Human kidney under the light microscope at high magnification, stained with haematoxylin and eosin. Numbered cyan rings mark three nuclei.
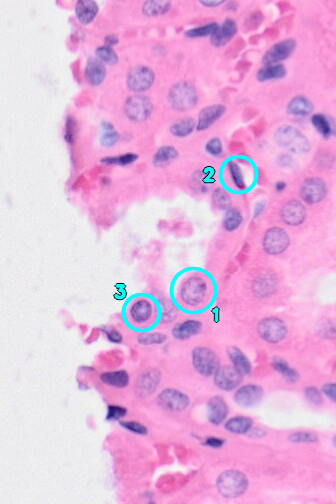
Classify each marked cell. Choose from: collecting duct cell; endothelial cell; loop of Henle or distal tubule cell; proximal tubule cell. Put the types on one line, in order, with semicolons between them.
loop of Henle or distal tubule cell; endothelial cell; loop of Henle or distal tubule cell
